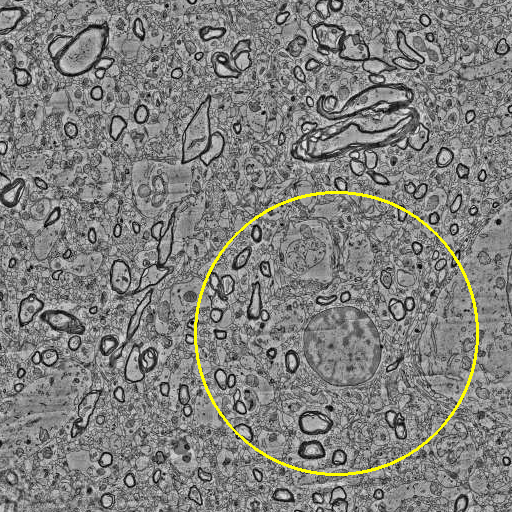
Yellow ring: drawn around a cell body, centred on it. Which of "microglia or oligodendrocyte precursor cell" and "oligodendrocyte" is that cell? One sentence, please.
That cell body is from a microglial cell or oligodendrocyte precursor cell.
